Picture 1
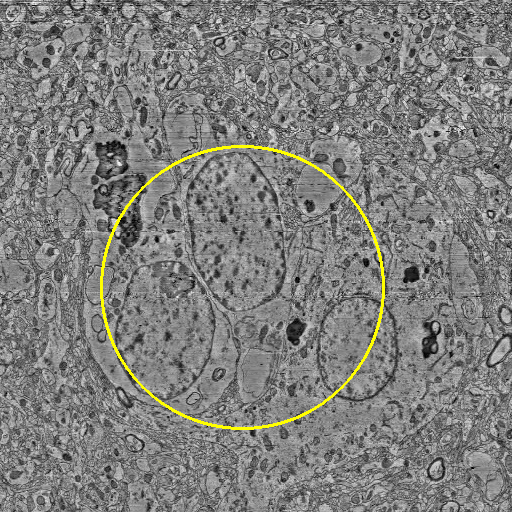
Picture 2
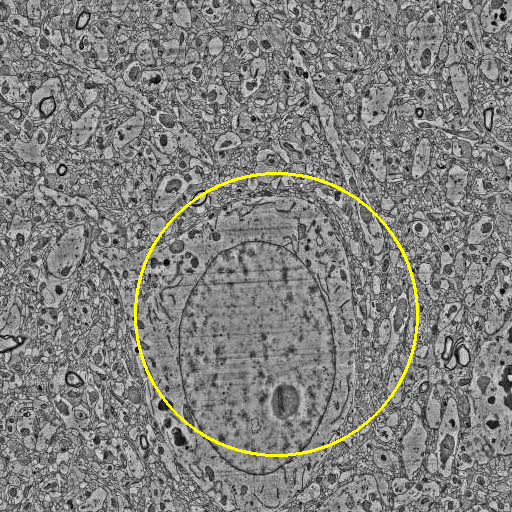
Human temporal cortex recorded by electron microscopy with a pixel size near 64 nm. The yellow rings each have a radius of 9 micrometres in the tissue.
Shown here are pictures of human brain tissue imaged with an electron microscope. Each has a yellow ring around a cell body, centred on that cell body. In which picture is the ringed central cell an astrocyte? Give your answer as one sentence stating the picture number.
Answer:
My answer is picture 1, where the ringed cell at the centre is the one sought.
